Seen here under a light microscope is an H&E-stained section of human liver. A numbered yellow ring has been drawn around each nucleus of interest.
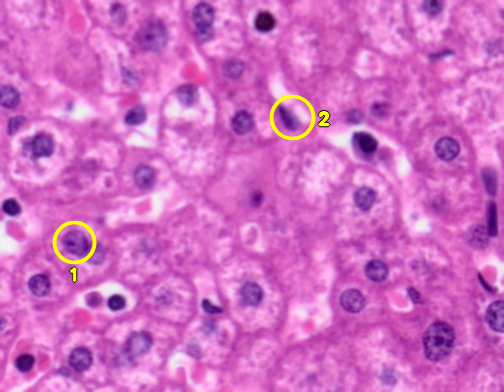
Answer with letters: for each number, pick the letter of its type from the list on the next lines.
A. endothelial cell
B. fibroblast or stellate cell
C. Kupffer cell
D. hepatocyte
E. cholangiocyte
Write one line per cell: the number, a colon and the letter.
1: D
2: A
